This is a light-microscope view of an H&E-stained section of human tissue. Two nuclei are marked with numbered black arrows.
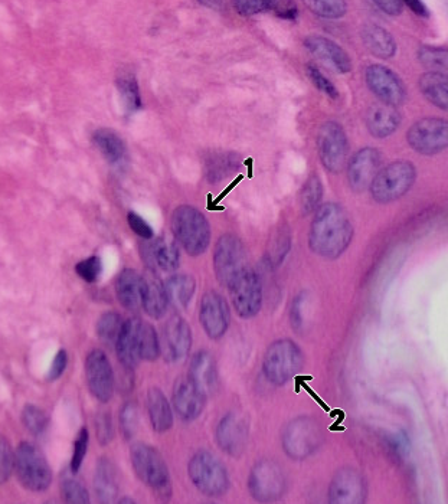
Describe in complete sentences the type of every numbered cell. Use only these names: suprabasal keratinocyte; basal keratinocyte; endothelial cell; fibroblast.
Cell 1 is a basal keratinocyte. Cell 2 is a suprabasal keratinocyte.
